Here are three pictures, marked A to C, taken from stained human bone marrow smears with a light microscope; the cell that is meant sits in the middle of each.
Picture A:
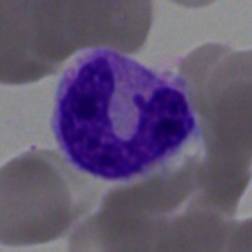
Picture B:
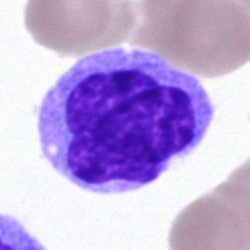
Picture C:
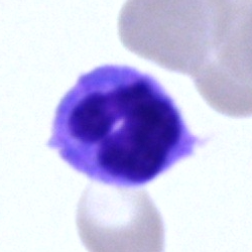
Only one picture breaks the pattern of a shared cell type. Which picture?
A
